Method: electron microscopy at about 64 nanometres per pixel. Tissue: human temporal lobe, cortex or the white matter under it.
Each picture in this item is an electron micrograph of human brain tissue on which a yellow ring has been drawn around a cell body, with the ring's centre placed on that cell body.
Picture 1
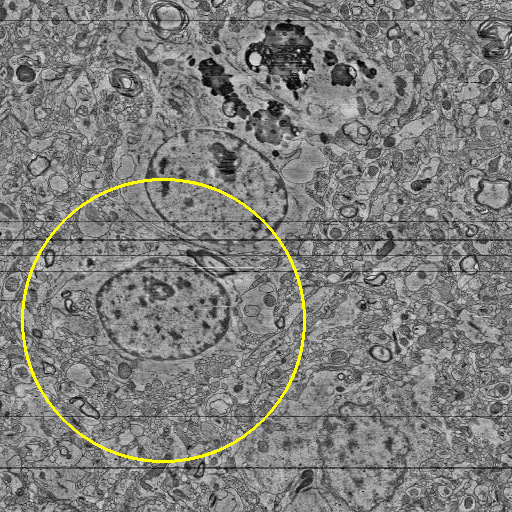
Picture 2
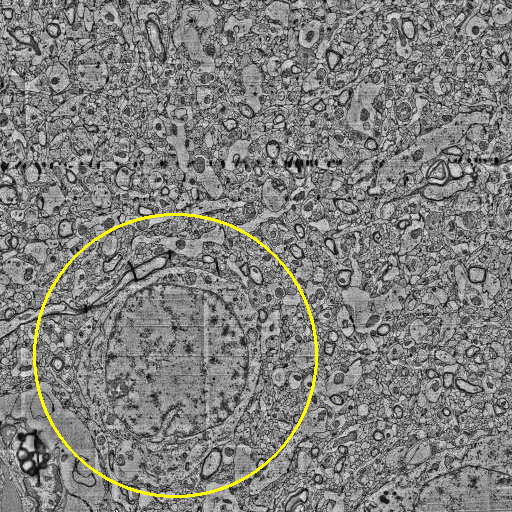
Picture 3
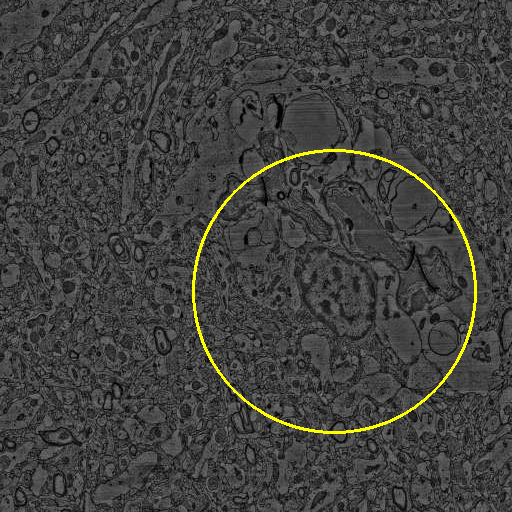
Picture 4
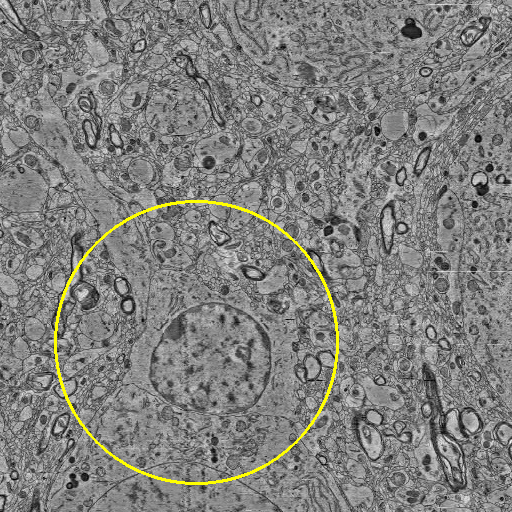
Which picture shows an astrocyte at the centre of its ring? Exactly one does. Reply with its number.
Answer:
1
